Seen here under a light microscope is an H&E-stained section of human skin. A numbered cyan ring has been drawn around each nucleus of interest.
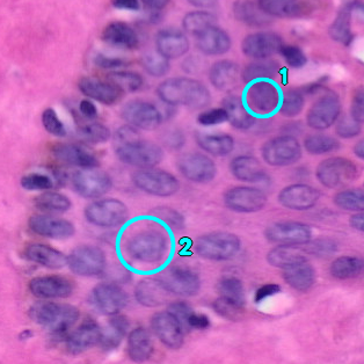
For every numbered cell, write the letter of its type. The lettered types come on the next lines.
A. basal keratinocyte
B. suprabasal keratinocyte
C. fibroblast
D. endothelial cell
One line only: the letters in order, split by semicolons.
A; B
